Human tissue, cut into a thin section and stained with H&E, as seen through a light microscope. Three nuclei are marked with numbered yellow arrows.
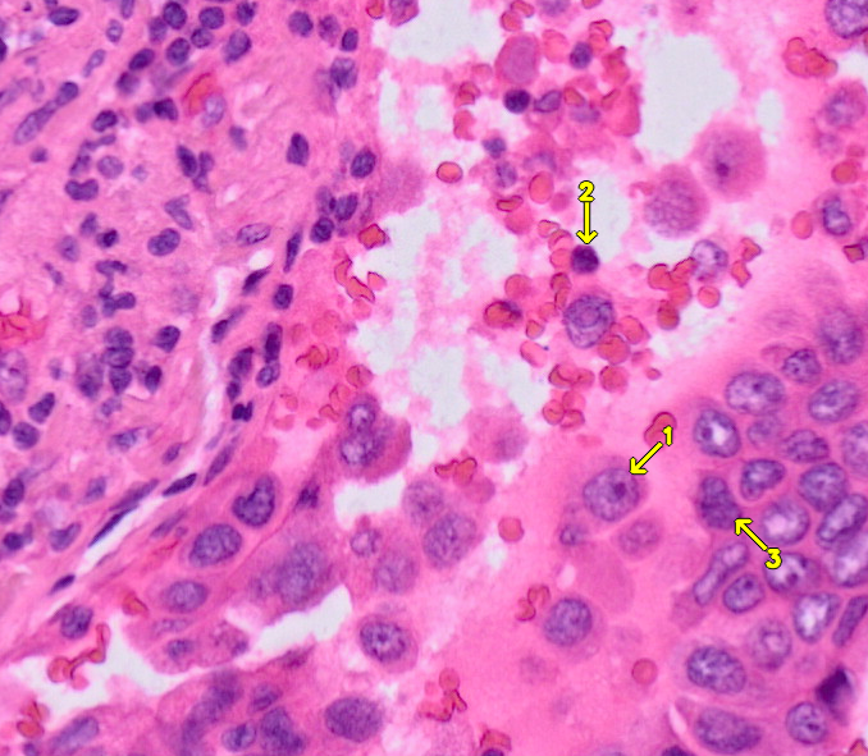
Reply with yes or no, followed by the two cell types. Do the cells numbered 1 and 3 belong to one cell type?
Yes, in this tissue section, cells 1 and 3 are both carcinoma cells.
